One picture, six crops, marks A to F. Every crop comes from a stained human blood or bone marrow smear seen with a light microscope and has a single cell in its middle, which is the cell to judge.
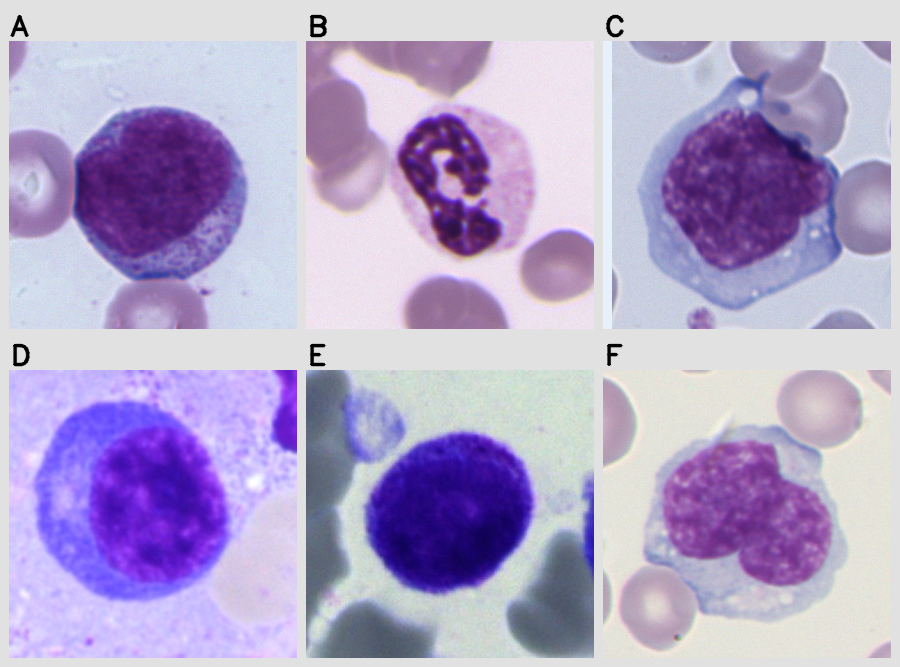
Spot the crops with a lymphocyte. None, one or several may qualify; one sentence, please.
Not one crop in the set is centred on a lymphocyte.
